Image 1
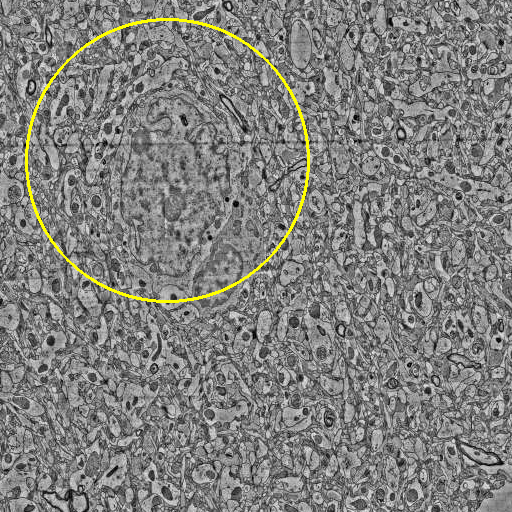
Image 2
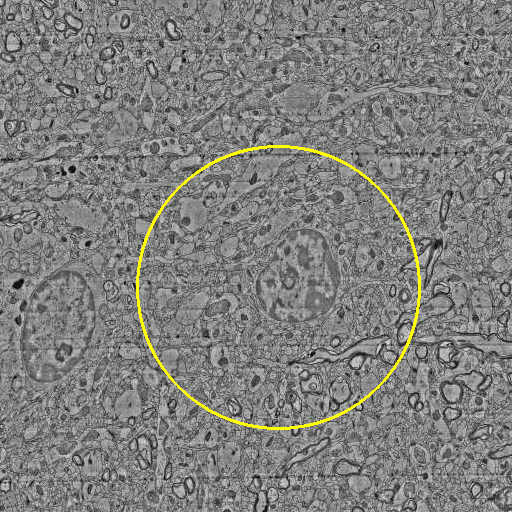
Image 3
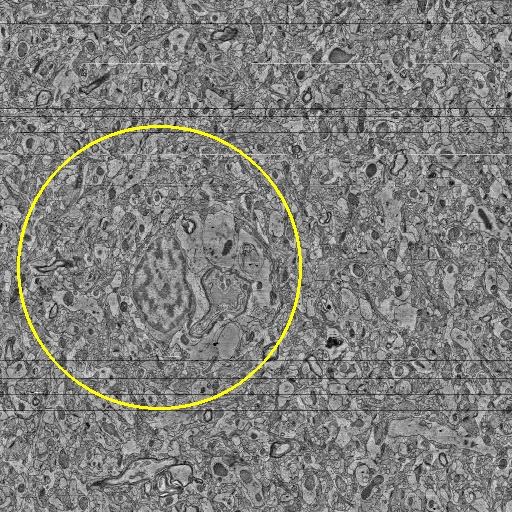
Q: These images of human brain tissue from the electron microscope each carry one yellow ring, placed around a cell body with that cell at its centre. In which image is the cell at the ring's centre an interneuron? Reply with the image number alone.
1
